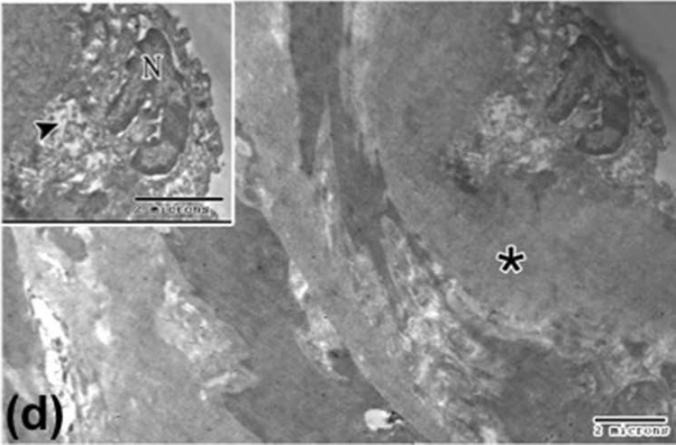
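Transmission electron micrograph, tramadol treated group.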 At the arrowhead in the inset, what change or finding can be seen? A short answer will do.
Rarified cytoplasm.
